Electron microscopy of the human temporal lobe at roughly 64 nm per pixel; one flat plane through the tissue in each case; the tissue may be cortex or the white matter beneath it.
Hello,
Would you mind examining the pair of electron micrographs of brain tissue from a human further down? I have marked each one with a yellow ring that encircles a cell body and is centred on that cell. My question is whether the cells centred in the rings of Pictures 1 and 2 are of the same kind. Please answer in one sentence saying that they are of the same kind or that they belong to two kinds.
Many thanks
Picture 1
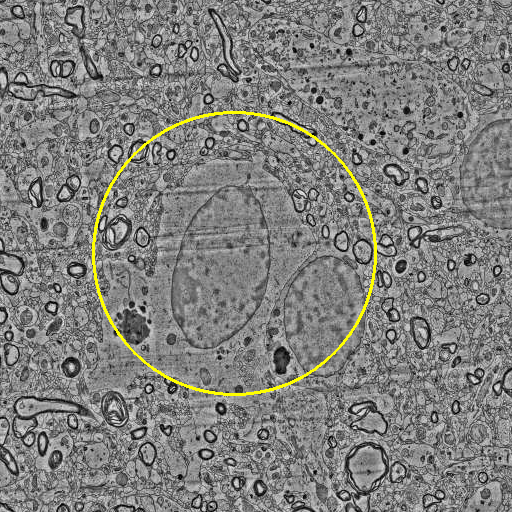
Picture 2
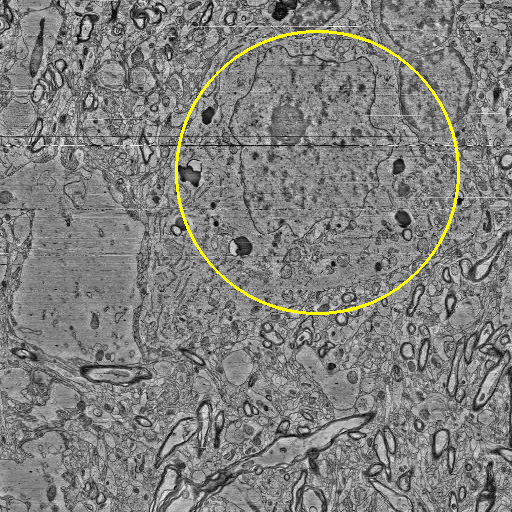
In Pictures 1 and 2, the cells at the heart of the rings belong to two kinds.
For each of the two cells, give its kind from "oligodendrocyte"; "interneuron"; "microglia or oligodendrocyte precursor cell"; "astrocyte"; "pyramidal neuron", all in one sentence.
The first picture has an astrocyte in its ring, the second has a pyramidal neuron.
